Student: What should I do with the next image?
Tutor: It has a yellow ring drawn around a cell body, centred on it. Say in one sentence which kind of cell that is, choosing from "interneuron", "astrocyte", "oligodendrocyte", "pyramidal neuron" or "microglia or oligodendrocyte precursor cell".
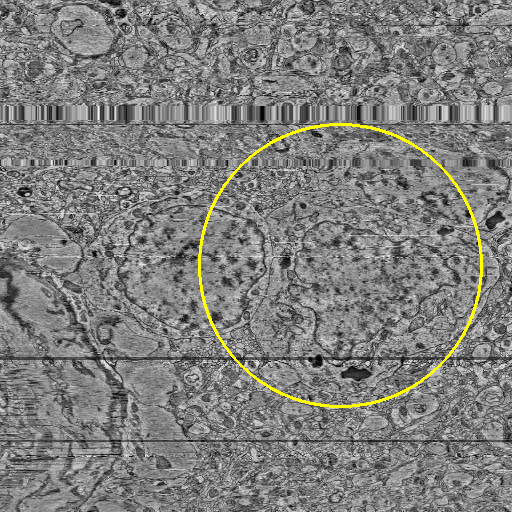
The ring's centre is occupied by an interneuron.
